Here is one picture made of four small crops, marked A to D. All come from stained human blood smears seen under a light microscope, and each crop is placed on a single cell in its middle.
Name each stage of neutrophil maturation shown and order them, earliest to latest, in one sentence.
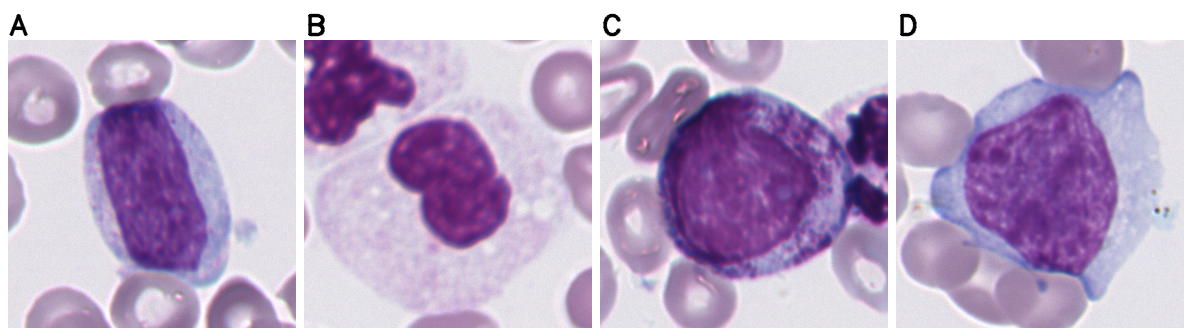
The correct order, least to most mature, is crop D (a myeloblast), crop C (a promyelocyte), crop A (a myelocyte) and crop B (a segmented neutrophil).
